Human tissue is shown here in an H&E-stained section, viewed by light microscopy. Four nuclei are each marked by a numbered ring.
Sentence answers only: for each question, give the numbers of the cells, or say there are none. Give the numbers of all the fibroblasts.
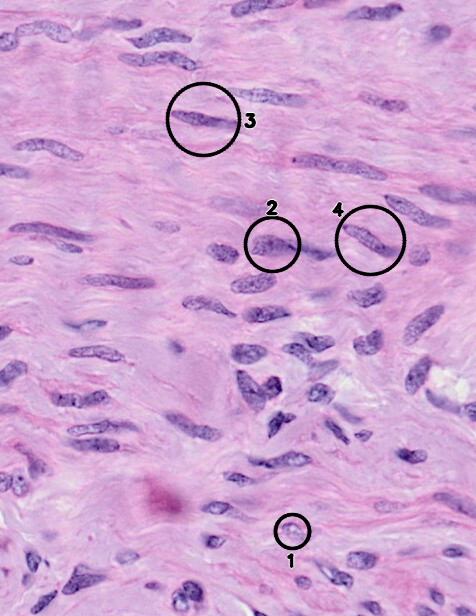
Among all the marked cells, a fibroblast is found only at number 2.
